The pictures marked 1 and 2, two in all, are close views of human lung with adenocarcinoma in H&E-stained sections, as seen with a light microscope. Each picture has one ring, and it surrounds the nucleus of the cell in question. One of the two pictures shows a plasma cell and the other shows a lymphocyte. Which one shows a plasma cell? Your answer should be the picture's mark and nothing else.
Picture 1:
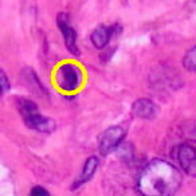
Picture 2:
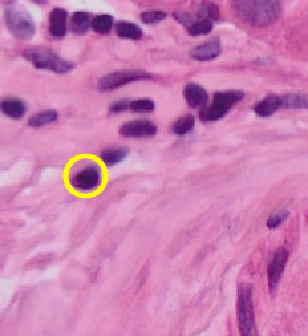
1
